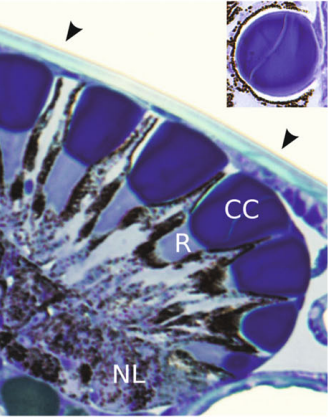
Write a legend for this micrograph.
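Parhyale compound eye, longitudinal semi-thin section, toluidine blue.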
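Dense black-brown pigment granules surround the cones and rhabdoms, and beneath the rhabdoms lies the layer of photoreceptor cell nuclei. The inset shows a round, dark blue crystalline cone in cross-section, divided by a line into two cells.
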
